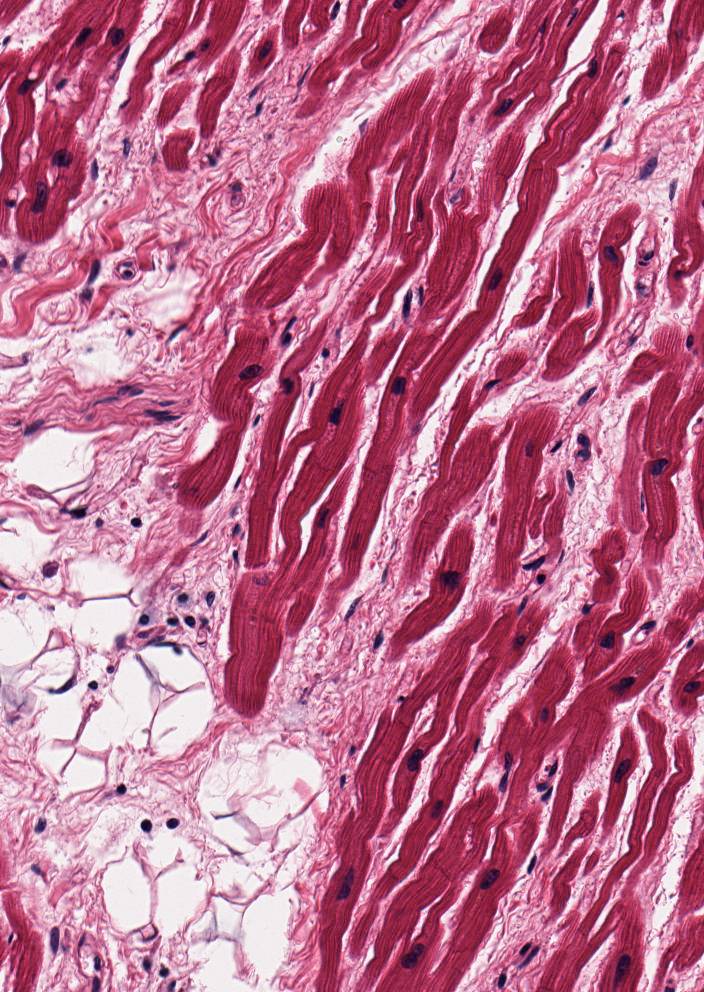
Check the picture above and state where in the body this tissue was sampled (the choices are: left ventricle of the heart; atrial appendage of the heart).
atrial appendage of the heart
